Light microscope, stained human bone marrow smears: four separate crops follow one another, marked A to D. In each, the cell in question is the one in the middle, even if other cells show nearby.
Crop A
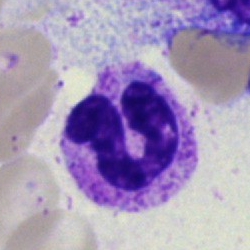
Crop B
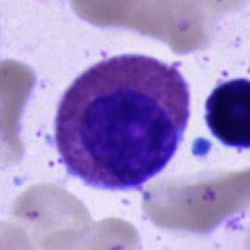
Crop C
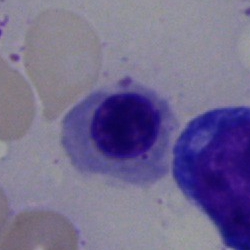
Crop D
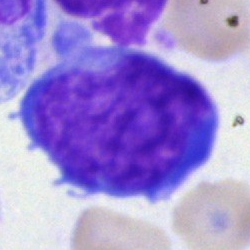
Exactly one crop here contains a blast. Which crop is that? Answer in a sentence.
Crop D is the crop in which a blast is shown.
